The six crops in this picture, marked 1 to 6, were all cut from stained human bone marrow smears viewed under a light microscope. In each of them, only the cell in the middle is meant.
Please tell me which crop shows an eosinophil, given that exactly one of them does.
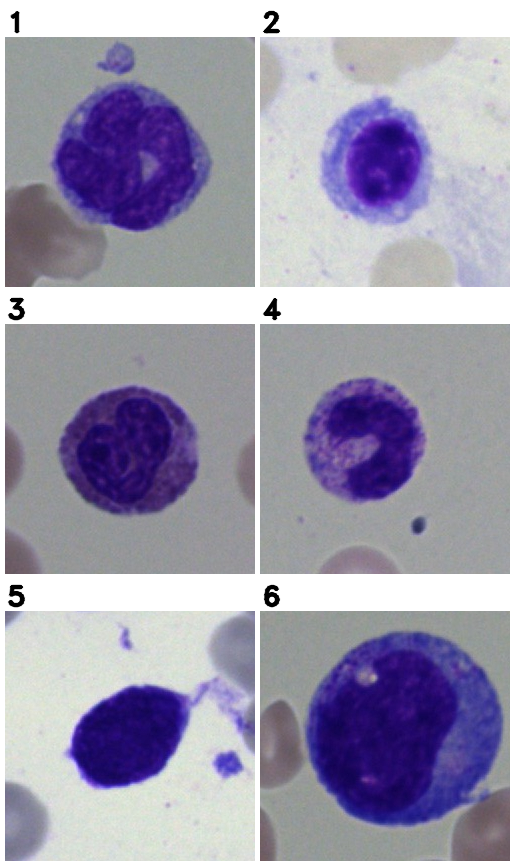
3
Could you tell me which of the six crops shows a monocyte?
1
